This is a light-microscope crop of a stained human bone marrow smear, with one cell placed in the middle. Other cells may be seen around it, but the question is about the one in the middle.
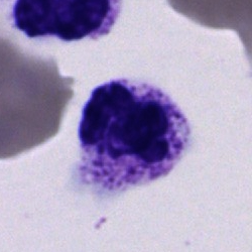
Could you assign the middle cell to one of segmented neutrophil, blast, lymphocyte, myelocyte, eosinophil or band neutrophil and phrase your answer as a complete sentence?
The cell at the central position in this crop is a segmented neutrophil.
